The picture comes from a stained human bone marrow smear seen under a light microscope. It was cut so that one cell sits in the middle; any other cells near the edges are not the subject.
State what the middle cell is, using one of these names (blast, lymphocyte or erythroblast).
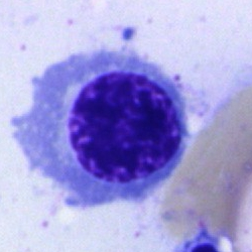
erythroblast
